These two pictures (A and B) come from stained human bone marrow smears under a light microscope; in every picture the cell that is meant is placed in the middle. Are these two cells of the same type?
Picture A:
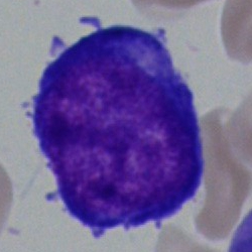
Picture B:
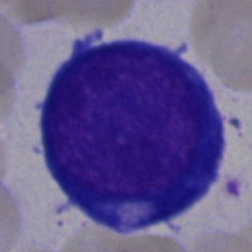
yes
